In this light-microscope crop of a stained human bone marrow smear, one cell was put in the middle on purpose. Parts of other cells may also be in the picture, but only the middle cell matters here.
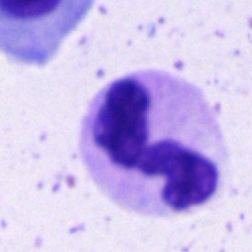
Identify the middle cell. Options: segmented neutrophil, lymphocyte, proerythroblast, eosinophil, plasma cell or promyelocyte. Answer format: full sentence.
The cell under consideration, at the middle of the crop, is a segmented neutrophil.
